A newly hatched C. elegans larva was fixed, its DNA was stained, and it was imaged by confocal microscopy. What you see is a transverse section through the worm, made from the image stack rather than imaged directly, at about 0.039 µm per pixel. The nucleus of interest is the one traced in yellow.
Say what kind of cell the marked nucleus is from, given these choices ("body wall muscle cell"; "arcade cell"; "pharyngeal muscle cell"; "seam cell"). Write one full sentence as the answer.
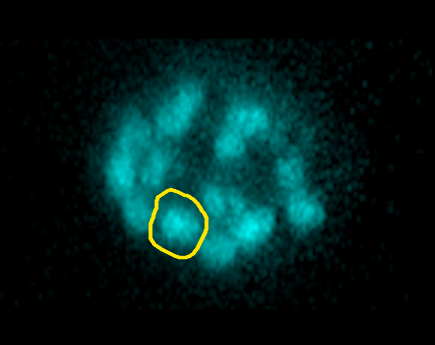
The nucleus comes from an arcade cell.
